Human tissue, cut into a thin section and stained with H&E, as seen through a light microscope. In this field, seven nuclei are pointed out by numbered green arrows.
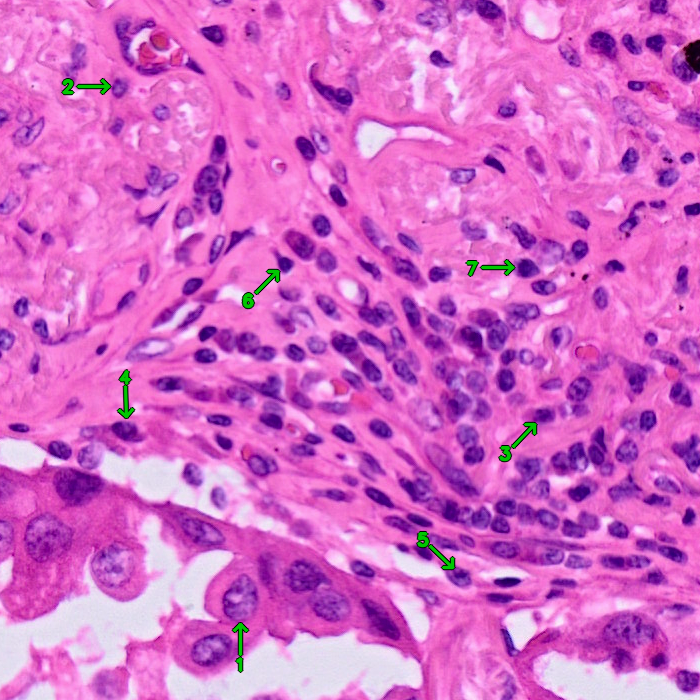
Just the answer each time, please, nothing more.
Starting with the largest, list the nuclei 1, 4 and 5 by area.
1, 4, 5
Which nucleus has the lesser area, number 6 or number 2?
6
